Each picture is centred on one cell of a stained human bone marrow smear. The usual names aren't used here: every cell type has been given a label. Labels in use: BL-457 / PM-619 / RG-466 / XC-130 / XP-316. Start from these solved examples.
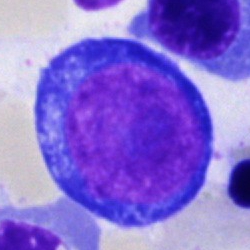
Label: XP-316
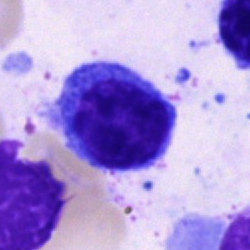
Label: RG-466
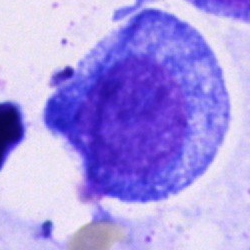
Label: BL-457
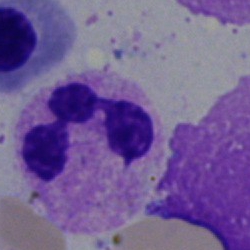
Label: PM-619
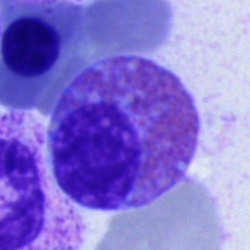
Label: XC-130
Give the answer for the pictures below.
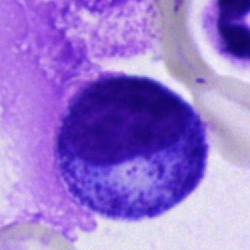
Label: BL-457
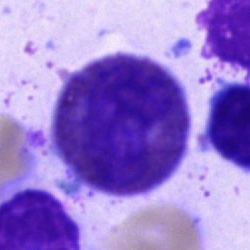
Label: XC-130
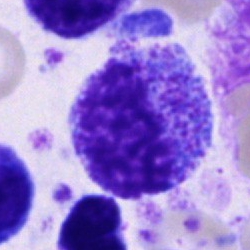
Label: BL-457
